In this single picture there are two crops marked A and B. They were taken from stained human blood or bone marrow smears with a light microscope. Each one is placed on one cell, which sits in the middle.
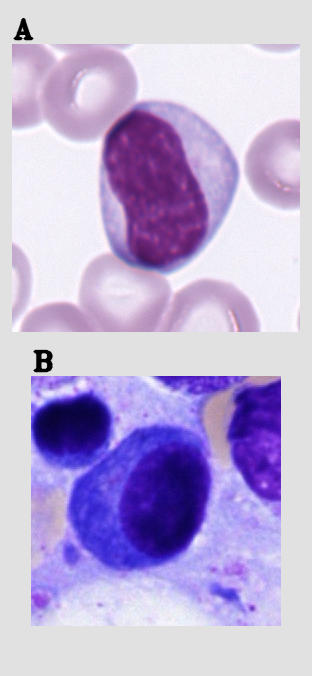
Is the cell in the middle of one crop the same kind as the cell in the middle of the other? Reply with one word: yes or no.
no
